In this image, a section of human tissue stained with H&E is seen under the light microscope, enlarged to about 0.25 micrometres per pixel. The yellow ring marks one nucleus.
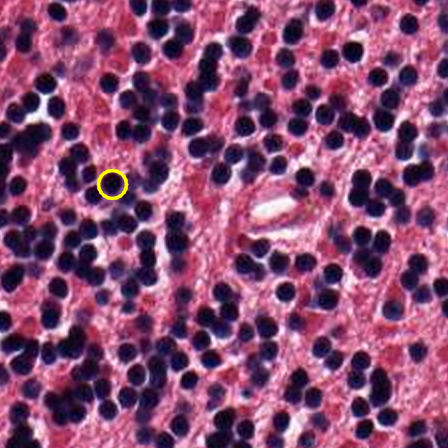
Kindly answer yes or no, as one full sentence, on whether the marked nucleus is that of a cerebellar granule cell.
Yes, the nucleus singled out in the image belongs to a cerebellar granule cell.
